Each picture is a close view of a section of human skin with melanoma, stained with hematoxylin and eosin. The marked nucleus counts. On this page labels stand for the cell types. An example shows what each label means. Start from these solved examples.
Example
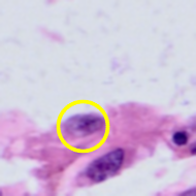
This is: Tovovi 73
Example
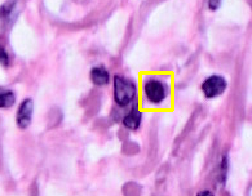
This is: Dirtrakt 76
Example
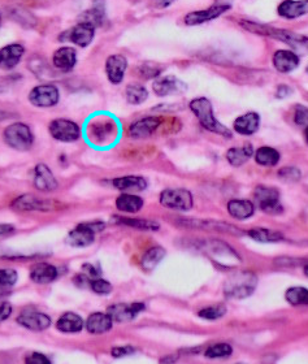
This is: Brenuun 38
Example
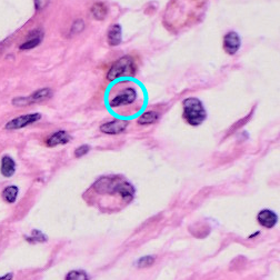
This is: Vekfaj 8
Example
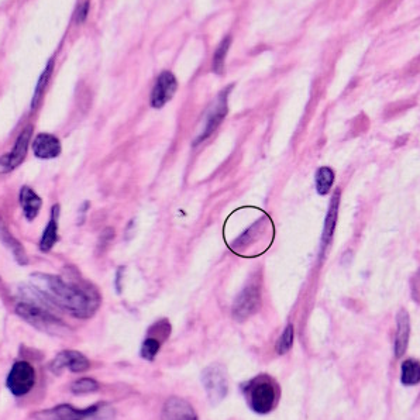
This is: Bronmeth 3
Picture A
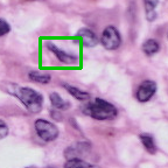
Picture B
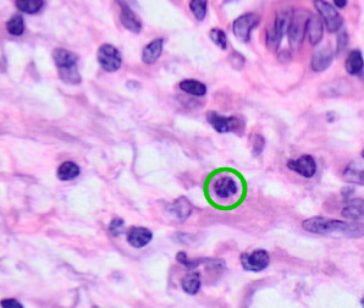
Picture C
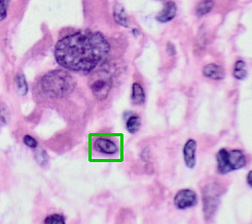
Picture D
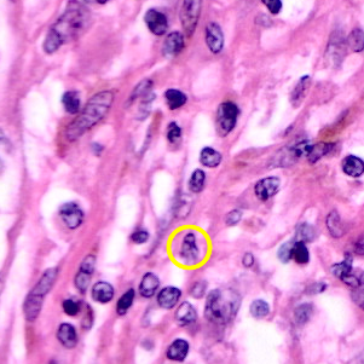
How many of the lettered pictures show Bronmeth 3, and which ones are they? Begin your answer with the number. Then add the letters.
Count: 1 (A)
